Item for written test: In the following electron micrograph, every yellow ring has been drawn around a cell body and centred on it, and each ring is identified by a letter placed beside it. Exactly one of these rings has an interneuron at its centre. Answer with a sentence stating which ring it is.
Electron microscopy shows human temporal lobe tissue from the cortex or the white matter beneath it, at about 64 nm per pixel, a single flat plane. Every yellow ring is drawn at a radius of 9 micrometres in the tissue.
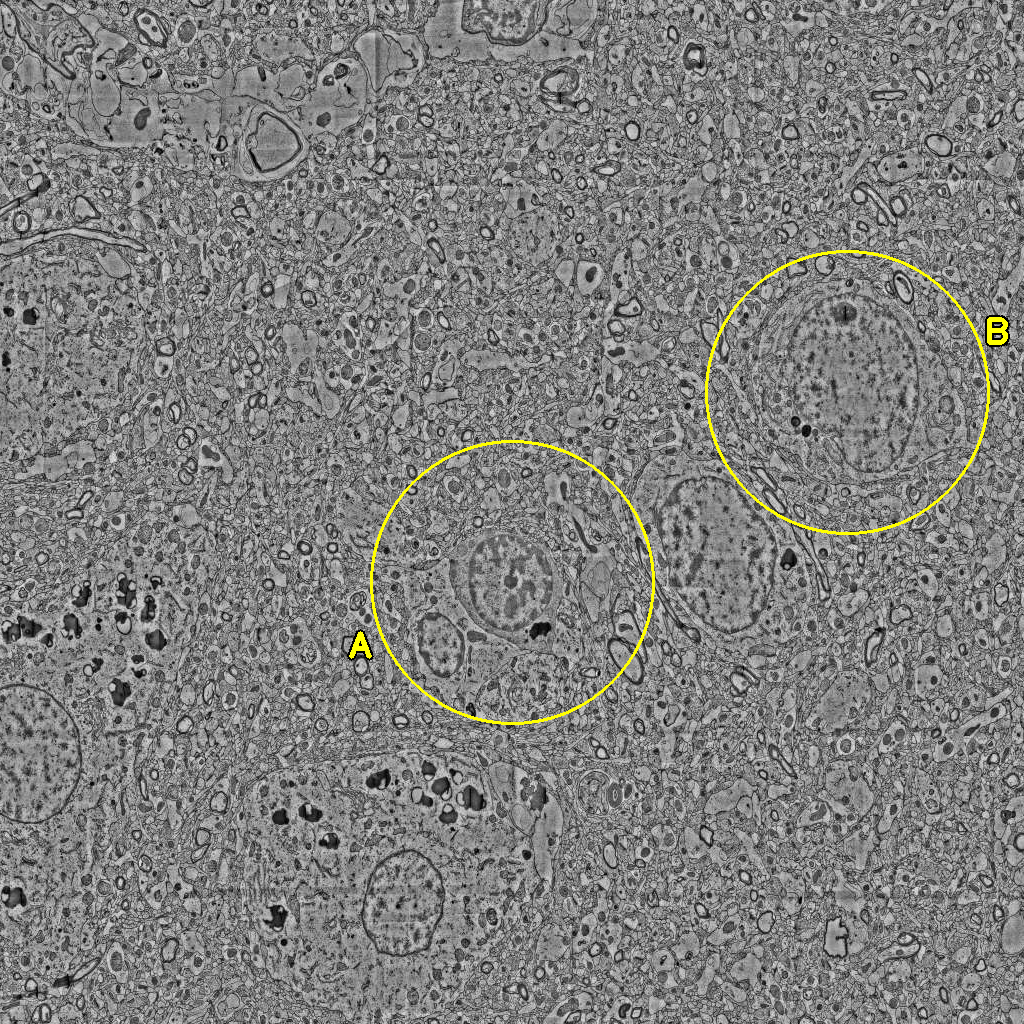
It is ring B.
